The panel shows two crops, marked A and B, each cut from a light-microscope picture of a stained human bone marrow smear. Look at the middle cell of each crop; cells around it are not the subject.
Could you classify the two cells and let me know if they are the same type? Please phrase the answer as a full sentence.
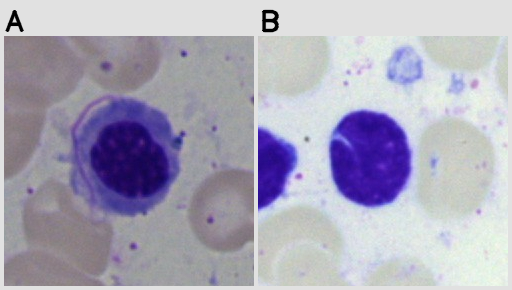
No, whereas crop A shows an erythroblast, crop B shows a lymphocyte.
